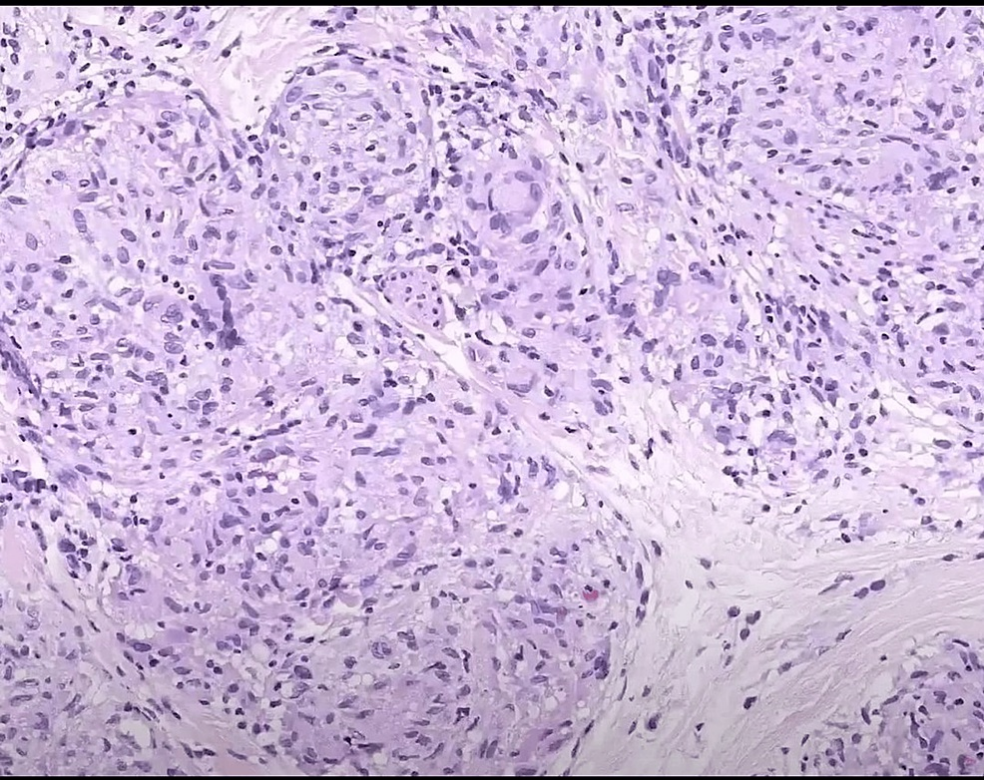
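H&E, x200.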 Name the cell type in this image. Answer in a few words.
epithelioid cells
